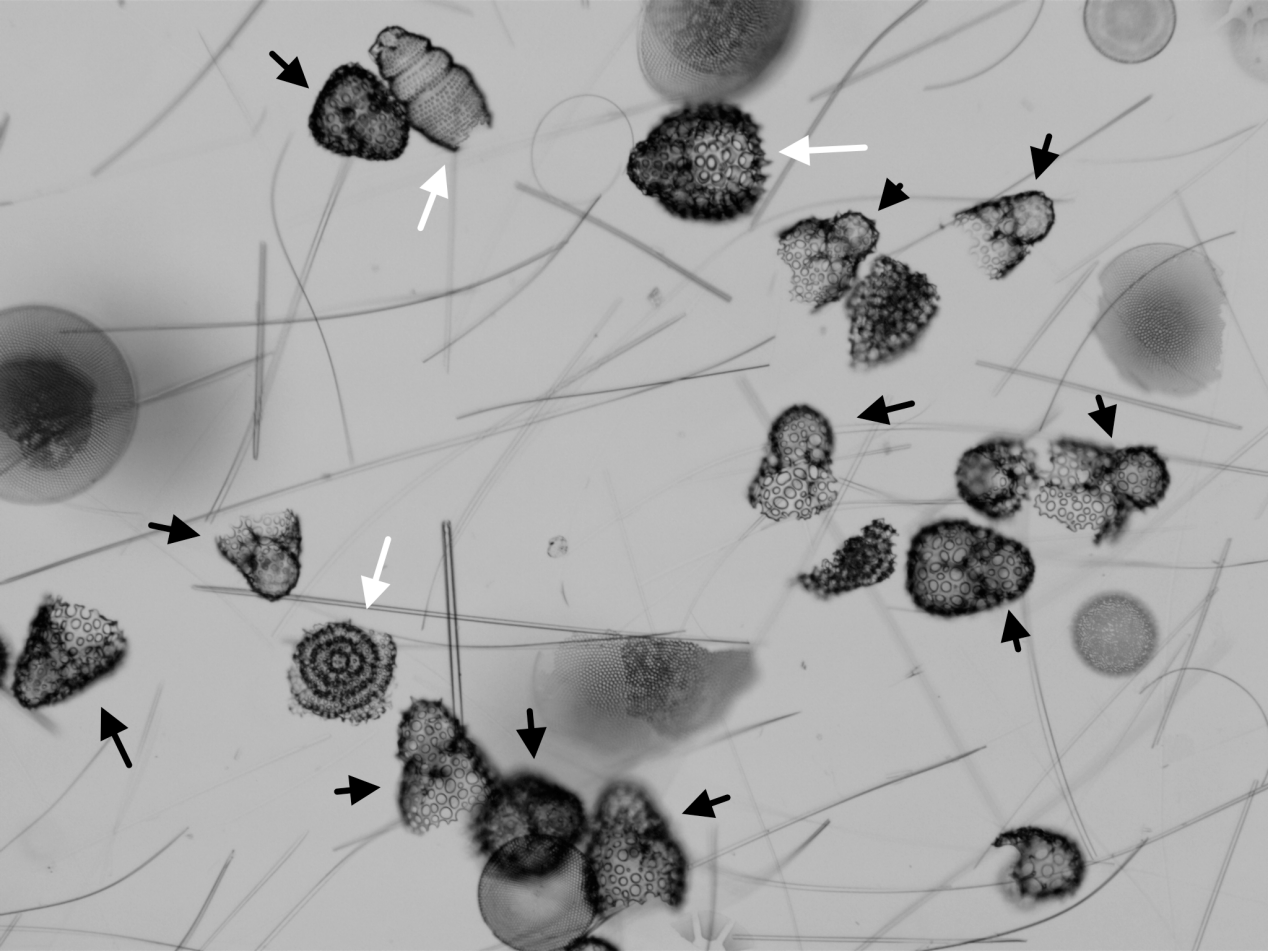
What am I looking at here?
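This is a microfossil assemblage made mostly of radiolarian skeletons, which are dark, porous shells built as a lattice of round openings. Many are small helmet- or cap-shaped shells with a rounded top chamber. Among them lie a conical shell divided into several segments and a flat disc whose pores form concentric rings. Between them are pale, faint circular discs with a fine pore pattern, which are diatom valves, along with many thin straight and curved needle-like fragments.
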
